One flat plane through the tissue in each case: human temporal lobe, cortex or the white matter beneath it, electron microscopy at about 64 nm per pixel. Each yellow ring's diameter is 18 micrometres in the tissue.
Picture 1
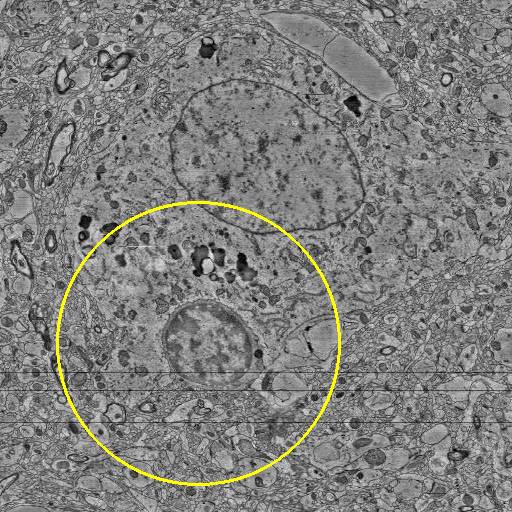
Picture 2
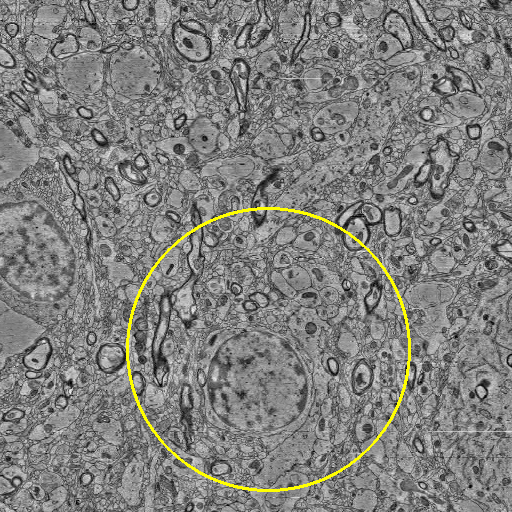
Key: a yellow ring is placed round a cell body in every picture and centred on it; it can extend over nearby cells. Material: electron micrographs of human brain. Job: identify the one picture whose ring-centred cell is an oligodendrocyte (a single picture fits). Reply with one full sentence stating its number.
Picture 1 is the one with the sought cell at the centre of its ring.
